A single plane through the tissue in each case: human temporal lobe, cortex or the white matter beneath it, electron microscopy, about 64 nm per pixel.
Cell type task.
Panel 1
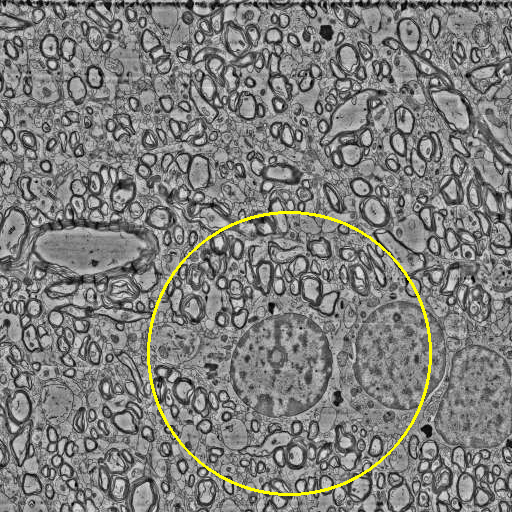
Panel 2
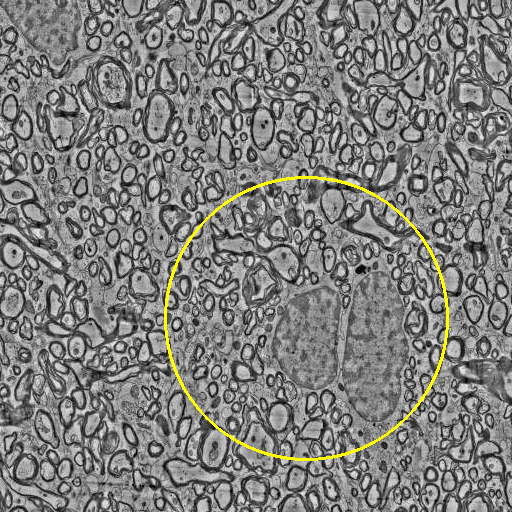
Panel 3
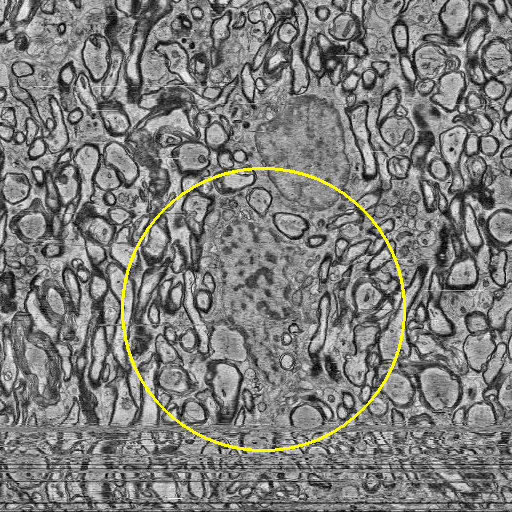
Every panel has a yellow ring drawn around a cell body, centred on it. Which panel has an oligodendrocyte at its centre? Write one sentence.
It sits at the centre of the ring in Panel 2.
